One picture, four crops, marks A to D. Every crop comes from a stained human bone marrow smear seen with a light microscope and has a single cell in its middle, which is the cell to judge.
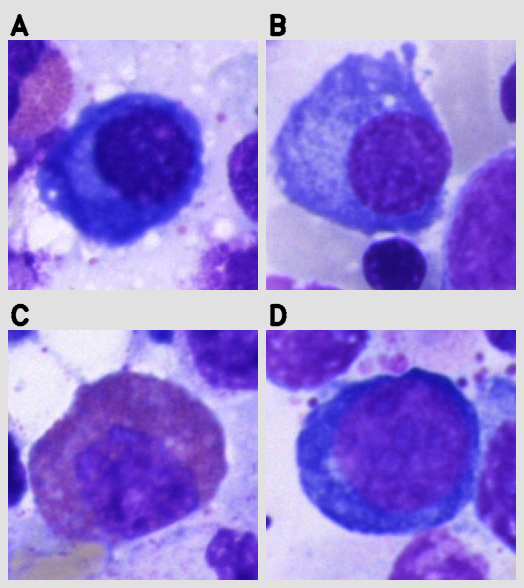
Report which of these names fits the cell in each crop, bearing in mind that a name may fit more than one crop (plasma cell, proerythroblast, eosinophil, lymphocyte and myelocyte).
A: plasma cell
B: plasma cell
C: eosinophil
D: proerythroblast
